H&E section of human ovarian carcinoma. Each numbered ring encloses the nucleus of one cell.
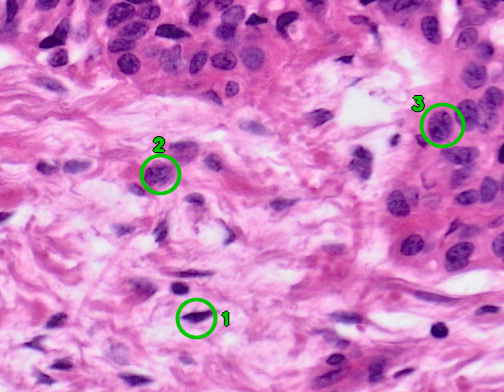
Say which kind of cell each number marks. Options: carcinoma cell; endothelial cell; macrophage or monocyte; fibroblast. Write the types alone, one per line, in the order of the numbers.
fibroblast
endothelial cell
carcinoma cell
